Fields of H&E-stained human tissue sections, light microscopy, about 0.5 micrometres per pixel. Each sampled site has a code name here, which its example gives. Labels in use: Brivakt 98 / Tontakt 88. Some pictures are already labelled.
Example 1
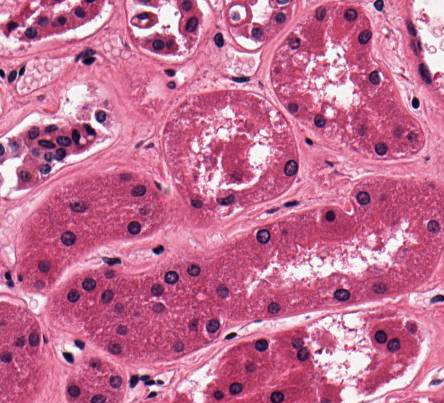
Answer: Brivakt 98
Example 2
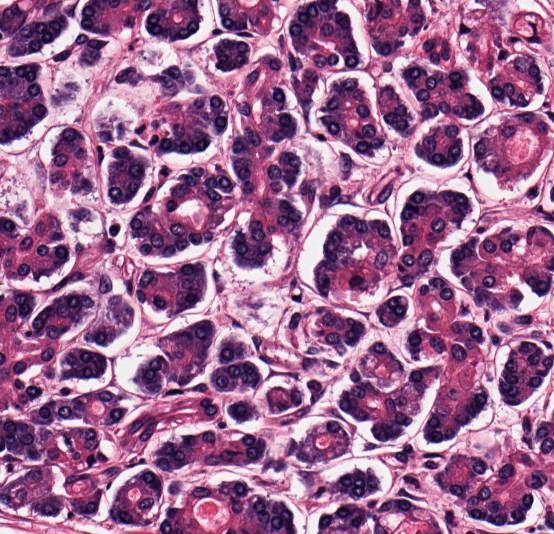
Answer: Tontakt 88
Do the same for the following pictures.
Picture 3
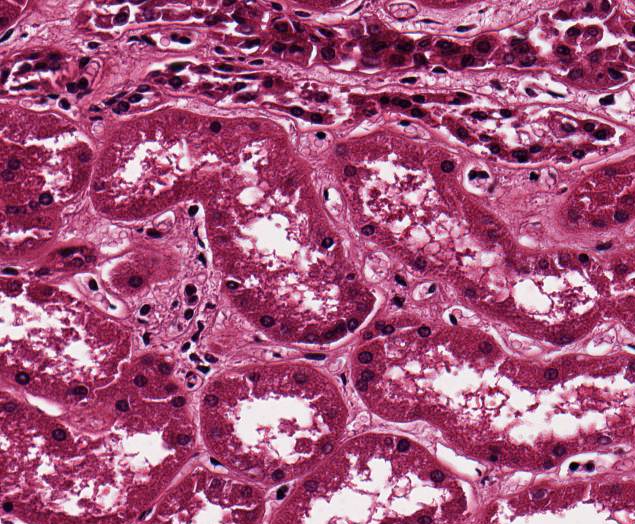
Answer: Brivakt 98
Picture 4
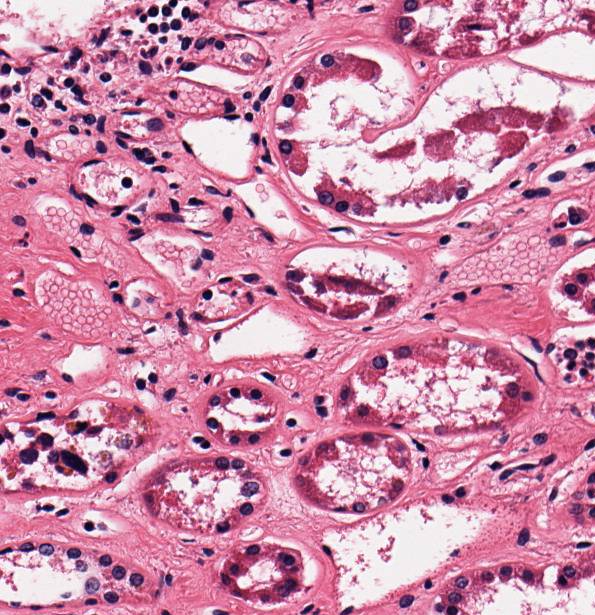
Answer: Brivakt 98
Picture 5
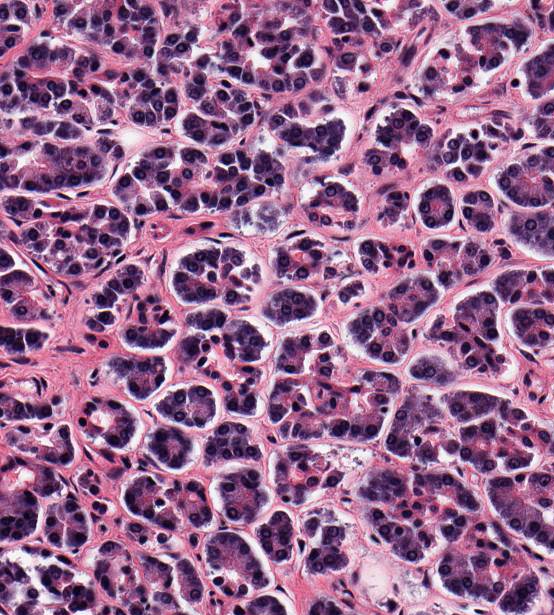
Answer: Tontakt 88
